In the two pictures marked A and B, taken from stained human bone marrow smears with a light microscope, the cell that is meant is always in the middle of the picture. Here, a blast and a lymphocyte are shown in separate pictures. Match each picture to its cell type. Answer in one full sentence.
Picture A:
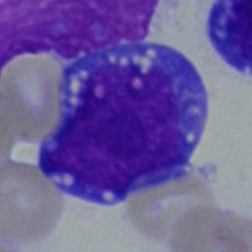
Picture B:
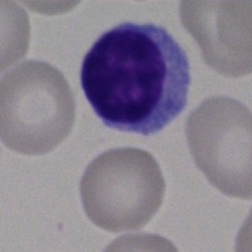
In picture A the cell is a blast; in picture B, a lymphocyte.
